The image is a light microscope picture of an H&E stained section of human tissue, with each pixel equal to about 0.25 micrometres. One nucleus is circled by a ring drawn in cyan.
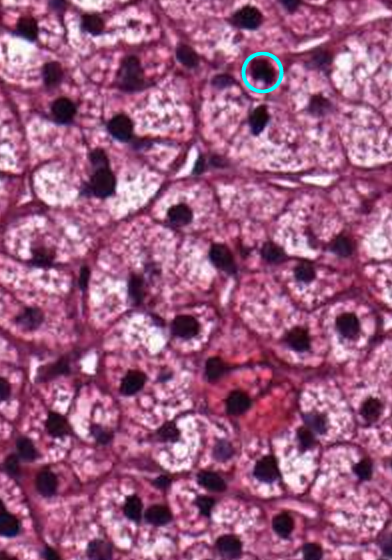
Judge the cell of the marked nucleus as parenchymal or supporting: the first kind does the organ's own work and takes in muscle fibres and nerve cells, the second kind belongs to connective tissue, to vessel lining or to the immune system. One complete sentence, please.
The nucleus marked here belongs to a parenchymal cell, namely an adrenal cortical cell.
